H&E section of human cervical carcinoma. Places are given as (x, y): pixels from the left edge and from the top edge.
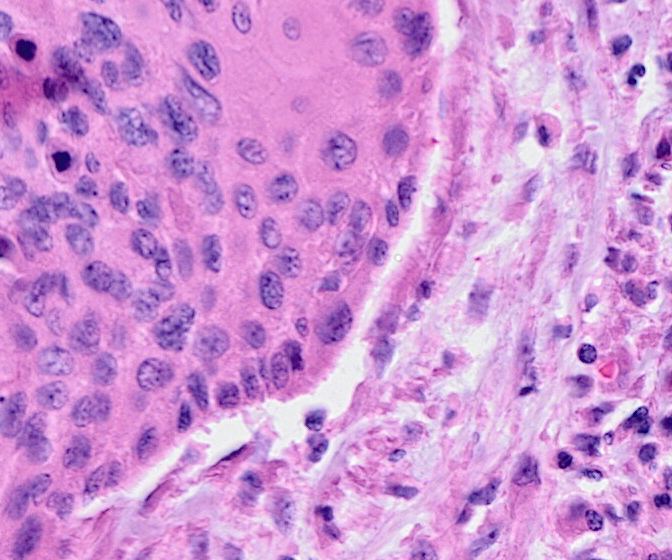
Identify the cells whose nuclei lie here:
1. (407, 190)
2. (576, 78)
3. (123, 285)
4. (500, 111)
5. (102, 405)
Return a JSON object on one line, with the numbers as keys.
{"1": "squamous carcinoma cell", "2": "fibroblast", "3": "squamous carcinoma cell", "4": "fibroblast", "5": "squamous carcinoma cell"}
